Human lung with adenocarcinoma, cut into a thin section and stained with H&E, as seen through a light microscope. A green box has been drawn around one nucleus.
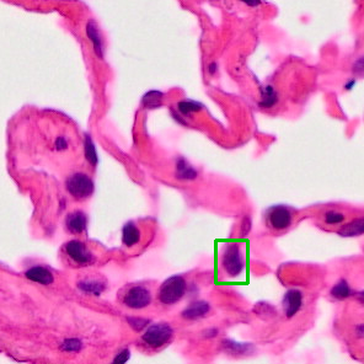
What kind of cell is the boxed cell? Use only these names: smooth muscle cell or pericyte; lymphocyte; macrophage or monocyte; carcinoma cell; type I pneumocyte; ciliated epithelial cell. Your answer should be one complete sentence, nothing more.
What the boxed cell represents is a type I pneumocyte.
